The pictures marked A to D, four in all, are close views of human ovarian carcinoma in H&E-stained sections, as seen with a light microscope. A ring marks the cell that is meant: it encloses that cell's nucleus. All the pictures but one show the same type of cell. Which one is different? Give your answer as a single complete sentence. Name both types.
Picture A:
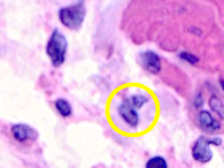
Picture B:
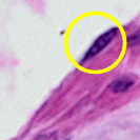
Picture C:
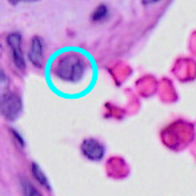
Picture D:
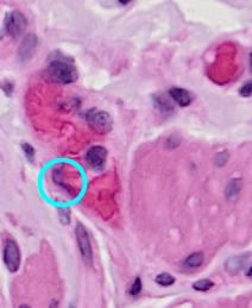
The different one is picture A; it shows a “macrophage or monocyte”, whereas all the others show endothelial cells.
